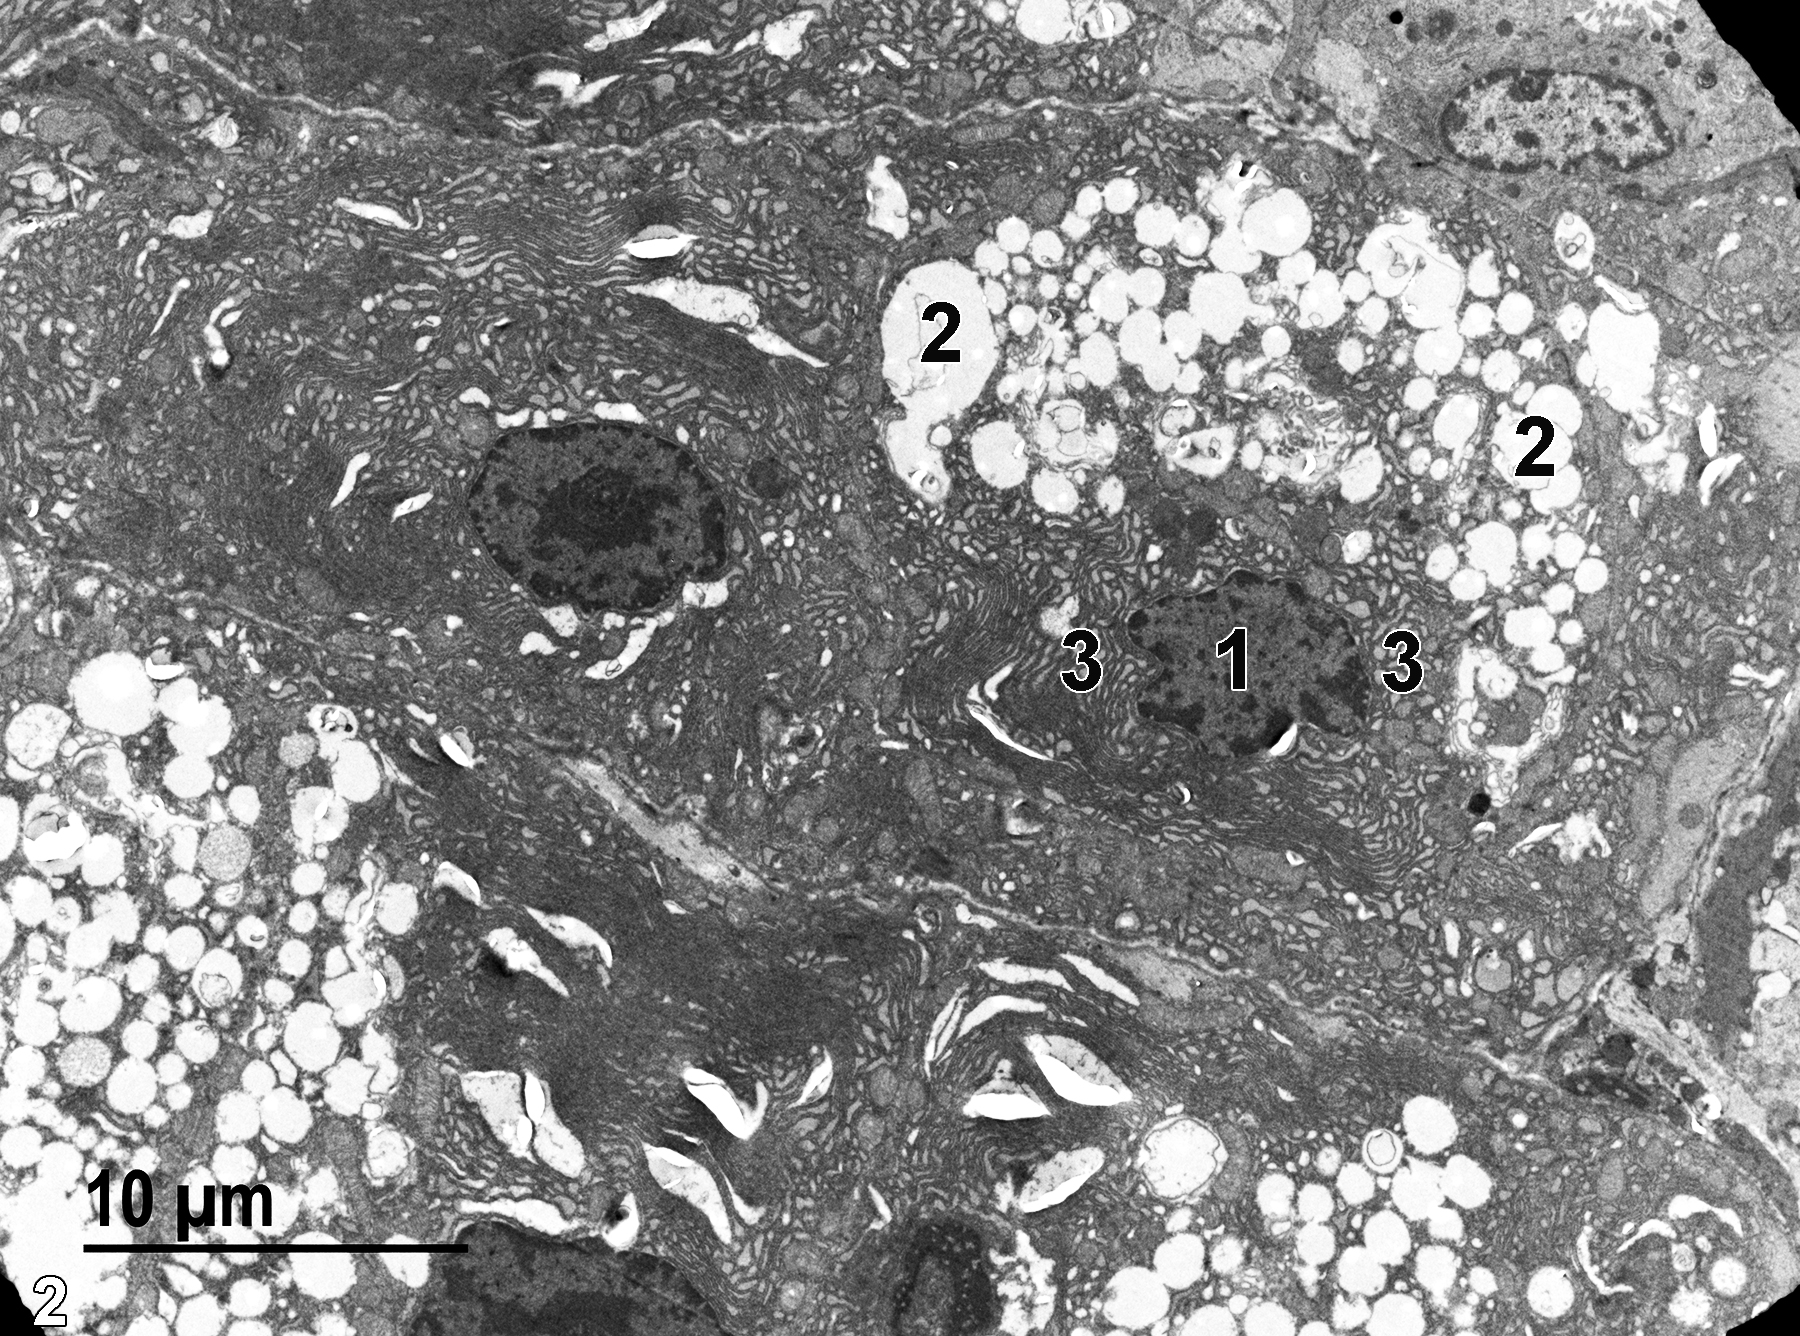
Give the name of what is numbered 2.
The number 2 marks the mucous granules.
